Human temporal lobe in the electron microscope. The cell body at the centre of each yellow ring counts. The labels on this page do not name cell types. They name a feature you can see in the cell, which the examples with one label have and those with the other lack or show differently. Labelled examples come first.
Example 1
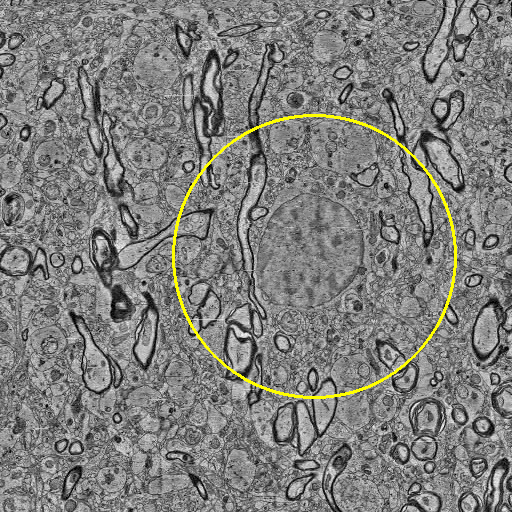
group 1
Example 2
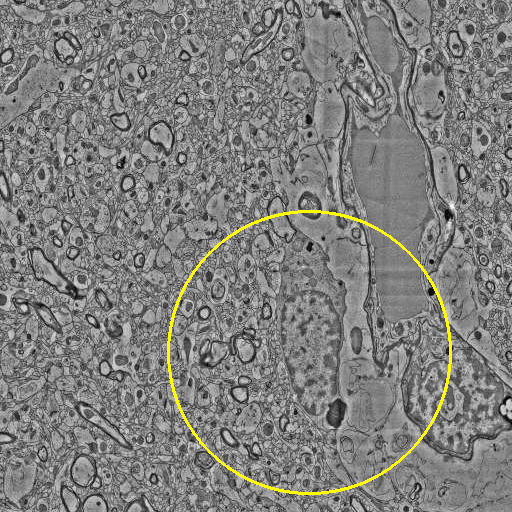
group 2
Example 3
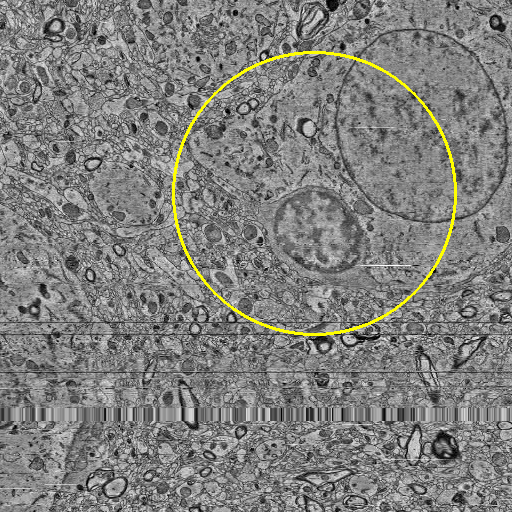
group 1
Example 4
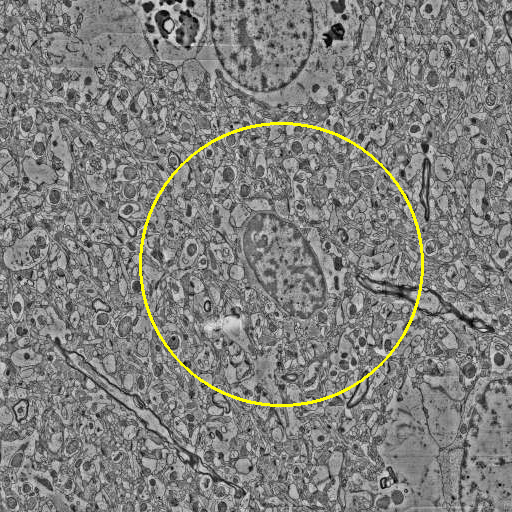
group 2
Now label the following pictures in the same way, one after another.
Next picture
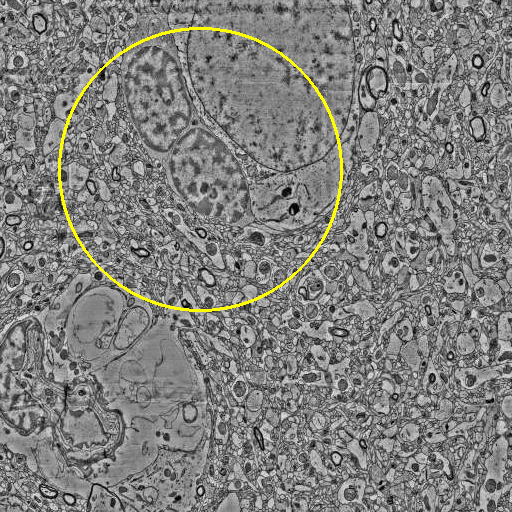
group 1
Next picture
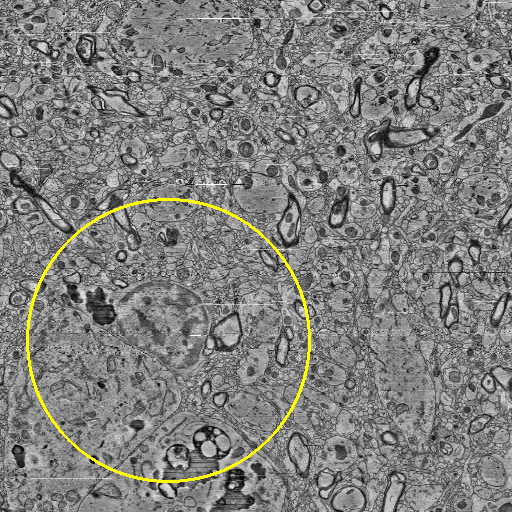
group 1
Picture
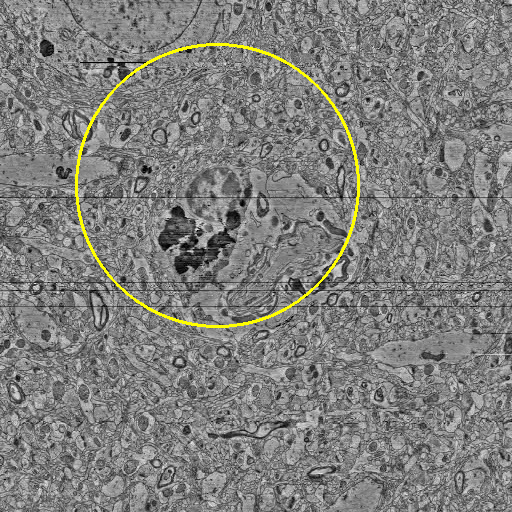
group 1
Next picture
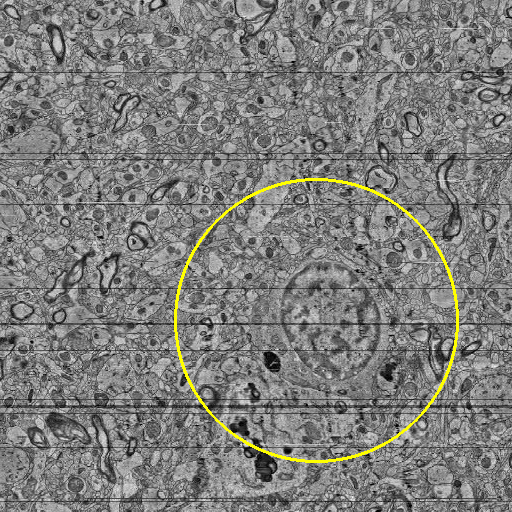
group 1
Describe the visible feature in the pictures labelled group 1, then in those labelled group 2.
group 1, round or nearly round nuclei; group 2, clearly elongated nuclei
